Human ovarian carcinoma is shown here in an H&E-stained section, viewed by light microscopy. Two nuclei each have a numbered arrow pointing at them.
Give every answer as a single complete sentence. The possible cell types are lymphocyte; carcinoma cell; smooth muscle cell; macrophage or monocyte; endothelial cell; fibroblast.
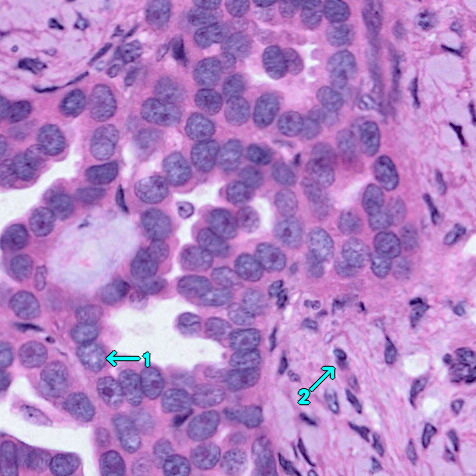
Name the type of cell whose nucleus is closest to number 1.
The cell nearest to number 1 is a carcinoma cell.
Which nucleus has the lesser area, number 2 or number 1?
Number 2 is smaller, since number 1 takes up about 3 times as much area.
